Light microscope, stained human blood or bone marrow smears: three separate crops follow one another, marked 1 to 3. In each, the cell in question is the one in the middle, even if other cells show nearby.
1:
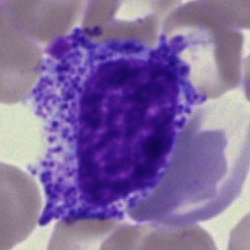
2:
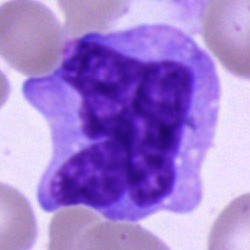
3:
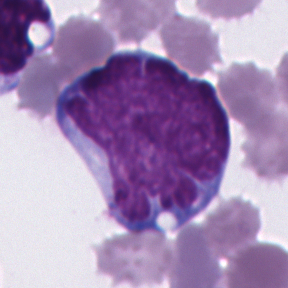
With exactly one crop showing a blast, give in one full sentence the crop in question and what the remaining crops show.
For crop 3 the cell is a blast, while crop 1 is a promyelocyte and crop 2 is a monocyte.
